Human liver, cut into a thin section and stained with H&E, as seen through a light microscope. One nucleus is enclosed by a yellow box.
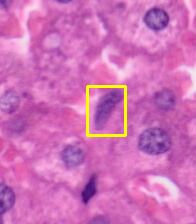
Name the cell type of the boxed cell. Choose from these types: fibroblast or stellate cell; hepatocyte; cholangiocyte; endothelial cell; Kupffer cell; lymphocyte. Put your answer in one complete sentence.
The boxed cell appears to be a Kupffer cell.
